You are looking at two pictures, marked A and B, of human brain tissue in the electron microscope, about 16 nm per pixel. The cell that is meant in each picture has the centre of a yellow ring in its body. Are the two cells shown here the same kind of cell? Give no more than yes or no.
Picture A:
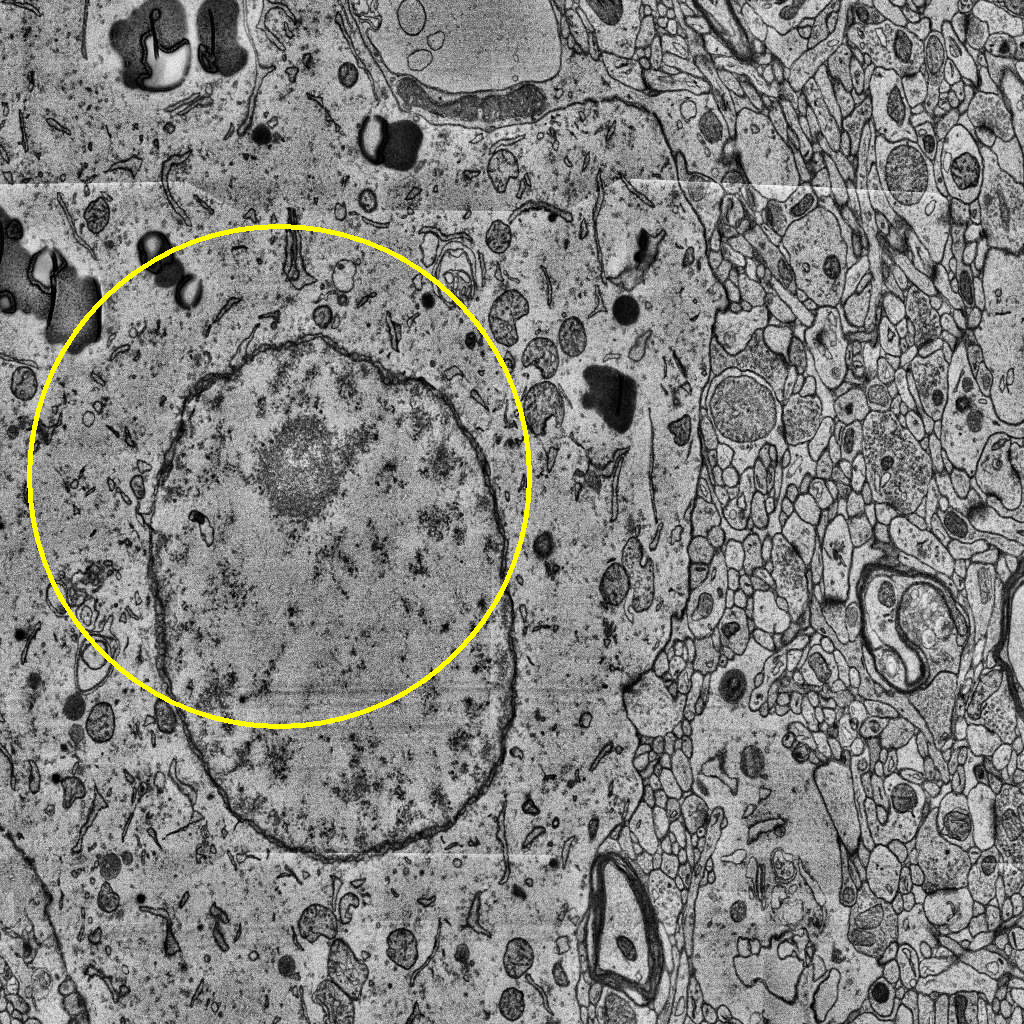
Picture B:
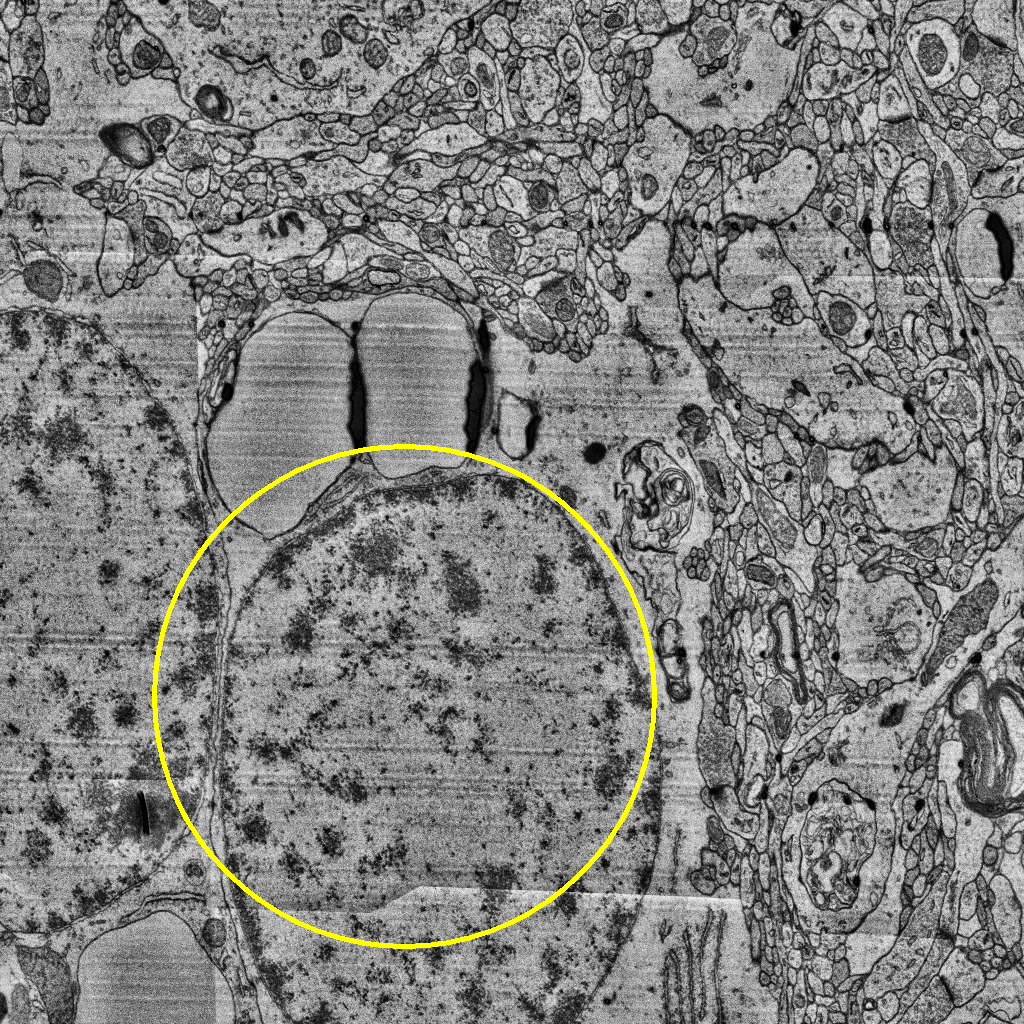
no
